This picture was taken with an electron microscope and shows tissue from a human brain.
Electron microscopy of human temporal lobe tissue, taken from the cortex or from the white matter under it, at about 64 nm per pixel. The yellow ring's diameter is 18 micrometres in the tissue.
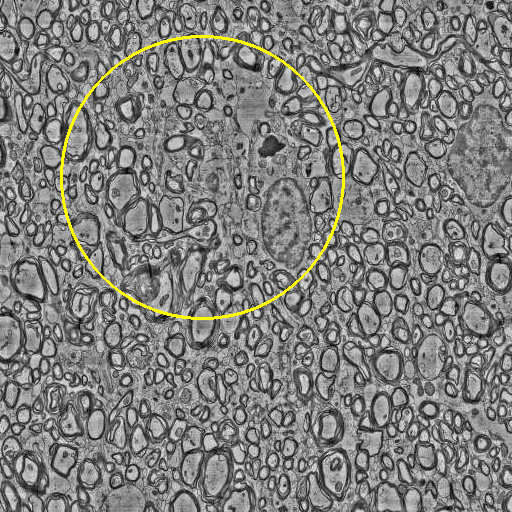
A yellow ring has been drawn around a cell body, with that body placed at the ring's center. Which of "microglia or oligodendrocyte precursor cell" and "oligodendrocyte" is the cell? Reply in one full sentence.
In this picture, a microglial cell or oligodendrocyte precursor cell is the cell at the center of the yellow ring.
